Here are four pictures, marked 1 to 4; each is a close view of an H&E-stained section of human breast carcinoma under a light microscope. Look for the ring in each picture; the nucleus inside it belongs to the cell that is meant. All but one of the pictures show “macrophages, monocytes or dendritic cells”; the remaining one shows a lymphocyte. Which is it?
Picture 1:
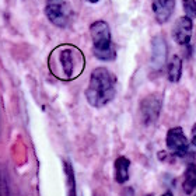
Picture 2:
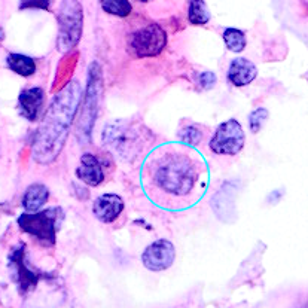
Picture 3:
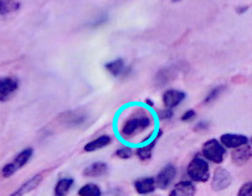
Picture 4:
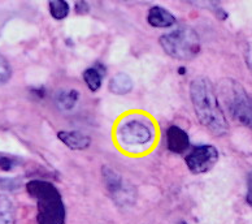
3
